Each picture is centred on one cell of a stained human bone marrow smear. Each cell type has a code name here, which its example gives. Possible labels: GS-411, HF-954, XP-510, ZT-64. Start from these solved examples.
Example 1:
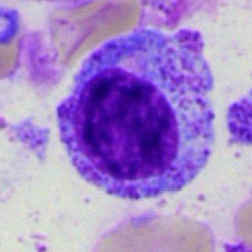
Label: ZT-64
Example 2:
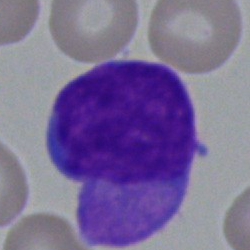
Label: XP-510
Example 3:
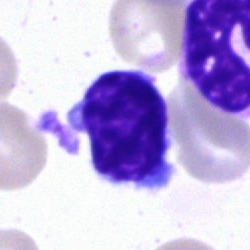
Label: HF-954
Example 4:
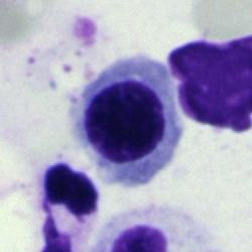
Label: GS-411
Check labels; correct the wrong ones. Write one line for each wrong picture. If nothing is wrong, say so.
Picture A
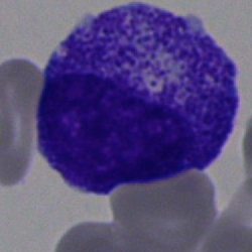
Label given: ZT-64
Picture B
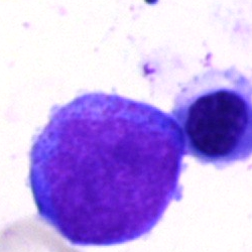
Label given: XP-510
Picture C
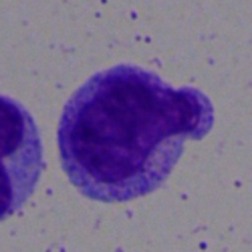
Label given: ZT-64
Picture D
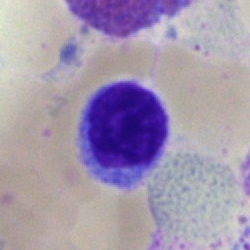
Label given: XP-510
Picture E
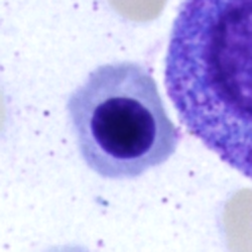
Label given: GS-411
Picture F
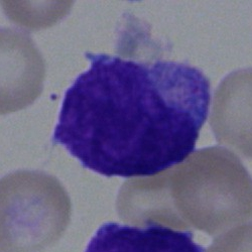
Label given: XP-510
D: not XP-510 but HF-954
